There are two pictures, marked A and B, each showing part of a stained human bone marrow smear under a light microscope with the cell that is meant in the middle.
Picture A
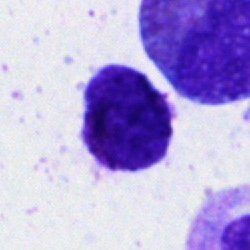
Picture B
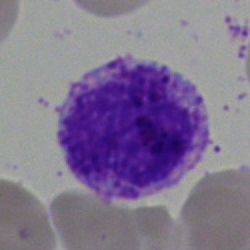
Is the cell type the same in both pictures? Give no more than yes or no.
yes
